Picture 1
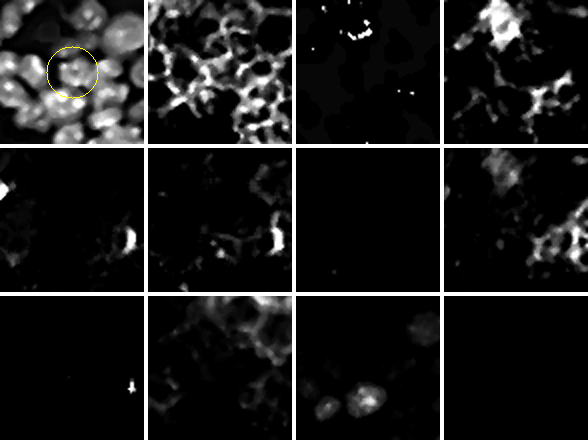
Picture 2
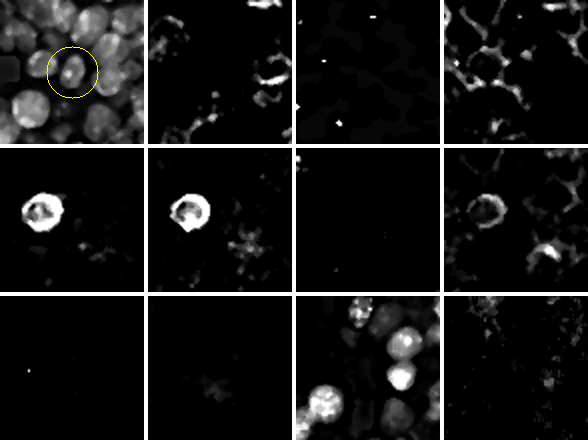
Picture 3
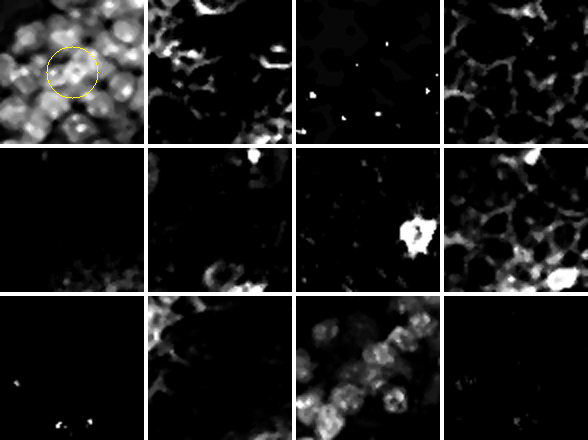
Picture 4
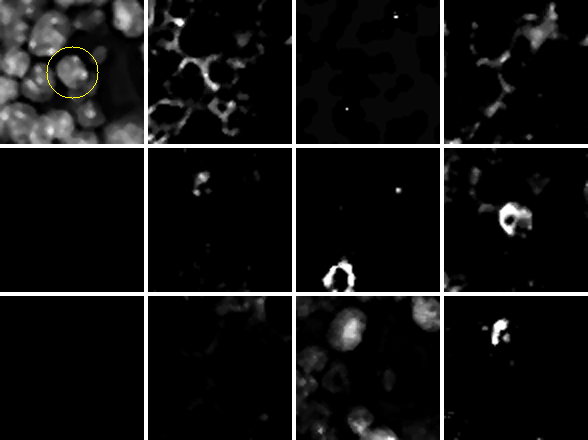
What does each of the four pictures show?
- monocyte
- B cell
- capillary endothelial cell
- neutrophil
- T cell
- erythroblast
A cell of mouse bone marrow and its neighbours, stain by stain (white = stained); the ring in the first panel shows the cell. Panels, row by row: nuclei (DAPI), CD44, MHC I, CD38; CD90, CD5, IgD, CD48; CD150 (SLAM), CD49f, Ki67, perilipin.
1: neutrophil
2: capillary endothelial cell
3: erythroblast
4: monocyte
